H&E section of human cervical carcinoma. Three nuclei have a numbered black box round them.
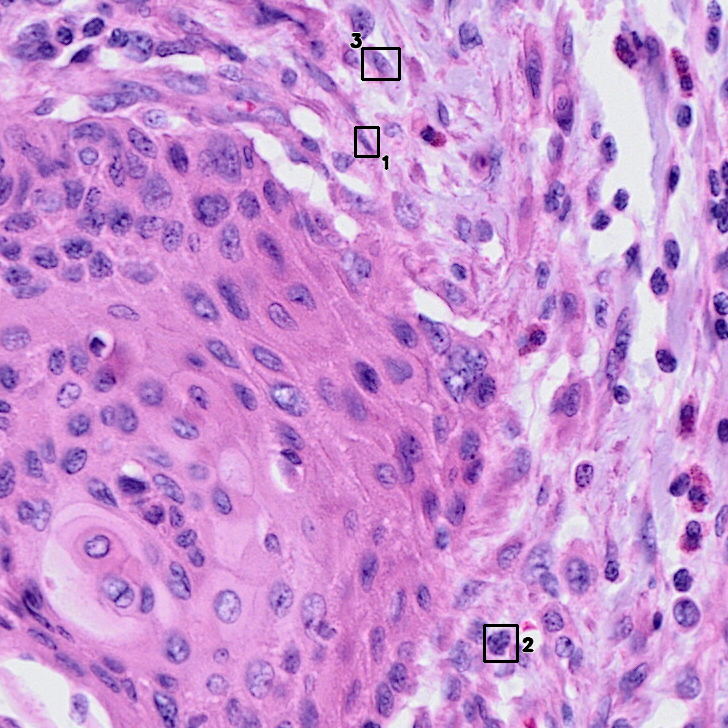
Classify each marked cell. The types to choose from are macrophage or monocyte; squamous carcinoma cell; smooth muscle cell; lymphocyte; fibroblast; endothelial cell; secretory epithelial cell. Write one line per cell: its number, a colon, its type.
1: fibroblast
2: lymphocyte
3: fibroblast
